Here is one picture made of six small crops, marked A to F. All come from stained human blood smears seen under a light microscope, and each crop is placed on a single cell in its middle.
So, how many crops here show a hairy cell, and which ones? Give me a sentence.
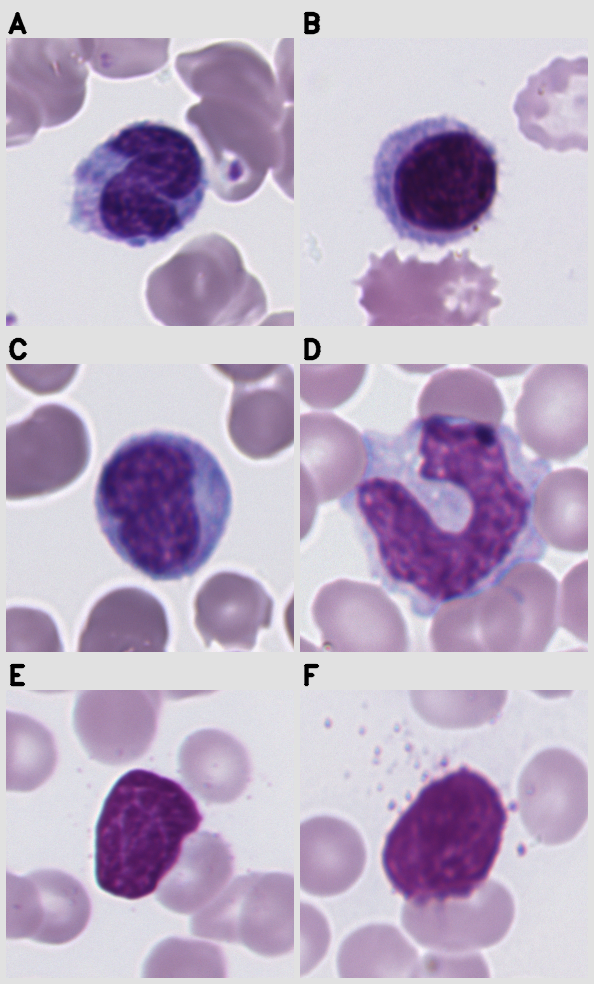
Exactly one of these crops, crop B, has a hairy cell in the middle.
